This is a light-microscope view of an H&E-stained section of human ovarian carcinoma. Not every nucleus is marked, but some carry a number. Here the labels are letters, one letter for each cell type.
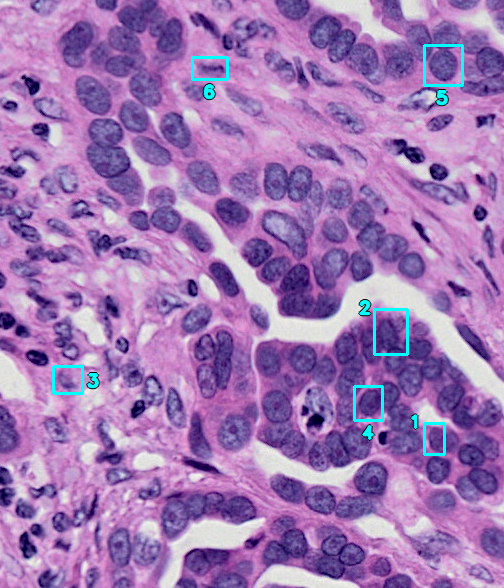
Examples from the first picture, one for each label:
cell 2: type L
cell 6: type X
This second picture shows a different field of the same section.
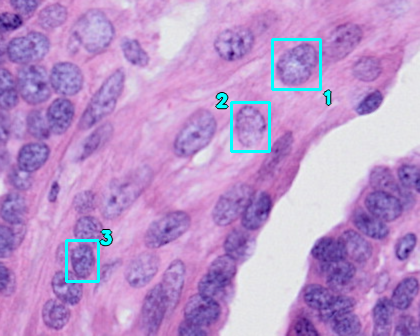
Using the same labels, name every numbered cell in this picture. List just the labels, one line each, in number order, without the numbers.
type X
type X
type L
